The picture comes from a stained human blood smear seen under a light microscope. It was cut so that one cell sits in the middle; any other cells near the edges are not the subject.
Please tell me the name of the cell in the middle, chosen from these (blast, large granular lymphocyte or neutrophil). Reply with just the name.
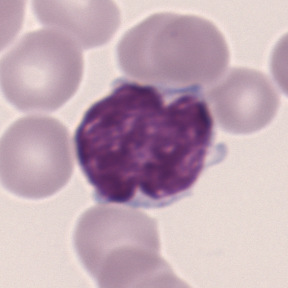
large granular lymphocyte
